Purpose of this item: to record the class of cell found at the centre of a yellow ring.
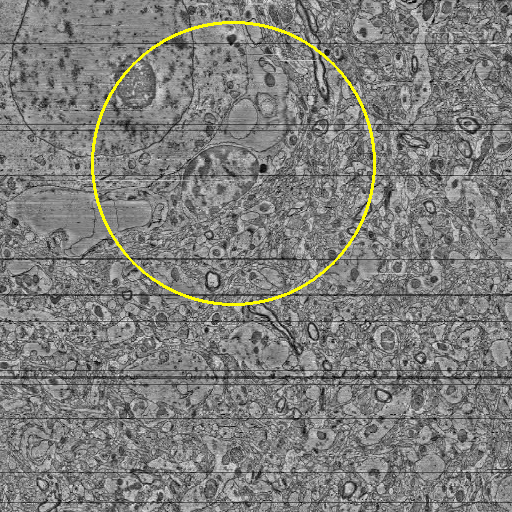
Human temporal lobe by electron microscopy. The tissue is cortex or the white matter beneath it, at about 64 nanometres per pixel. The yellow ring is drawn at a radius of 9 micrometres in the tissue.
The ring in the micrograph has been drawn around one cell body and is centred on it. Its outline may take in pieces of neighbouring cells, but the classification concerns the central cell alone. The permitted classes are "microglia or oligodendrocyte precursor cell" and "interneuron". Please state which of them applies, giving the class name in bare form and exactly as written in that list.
microglia or oligodendrocyte precursor cell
